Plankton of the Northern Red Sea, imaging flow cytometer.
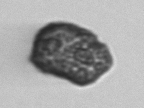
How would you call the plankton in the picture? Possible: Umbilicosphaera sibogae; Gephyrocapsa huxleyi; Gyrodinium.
I would call it Umbilicosphaera sibogae.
